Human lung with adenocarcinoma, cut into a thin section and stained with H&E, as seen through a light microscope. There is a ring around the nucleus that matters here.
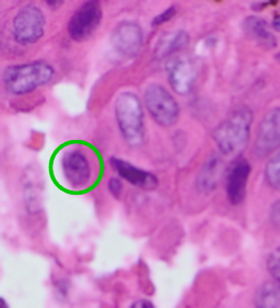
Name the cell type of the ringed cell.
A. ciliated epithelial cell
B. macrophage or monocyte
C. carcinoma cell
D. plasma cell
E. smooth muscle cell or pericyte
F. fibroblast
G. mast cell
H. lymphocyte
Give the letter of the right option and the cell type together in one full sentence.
In this item, the ringed cell is a carcinoma cell, and option C is right.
